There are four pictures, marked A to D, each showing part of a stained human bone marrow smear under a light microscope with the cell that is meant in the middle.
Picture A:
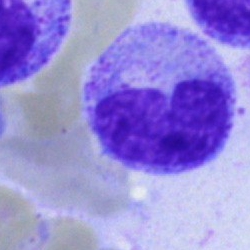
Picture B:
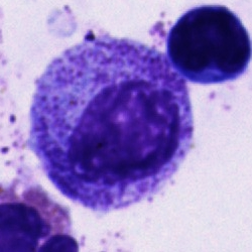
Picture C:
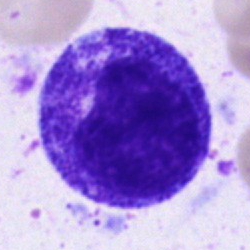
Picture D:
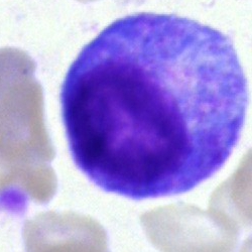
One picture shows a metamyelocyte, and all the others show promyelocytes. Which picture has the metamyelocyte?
A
